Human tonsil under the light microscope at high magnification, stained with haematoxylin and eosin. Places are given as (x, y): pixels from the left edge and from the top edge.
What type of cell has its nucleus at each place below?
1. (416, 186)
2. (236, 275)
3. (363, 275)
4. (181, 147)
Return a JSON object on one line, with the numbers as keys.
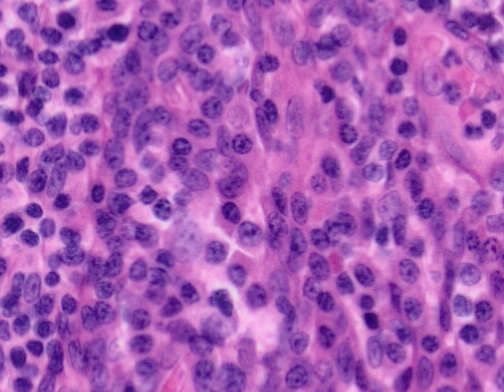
{"1": "squamous epithelial cell", "2": "plasma cell", "3": "plasma cell", "4": "plasma cell"}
